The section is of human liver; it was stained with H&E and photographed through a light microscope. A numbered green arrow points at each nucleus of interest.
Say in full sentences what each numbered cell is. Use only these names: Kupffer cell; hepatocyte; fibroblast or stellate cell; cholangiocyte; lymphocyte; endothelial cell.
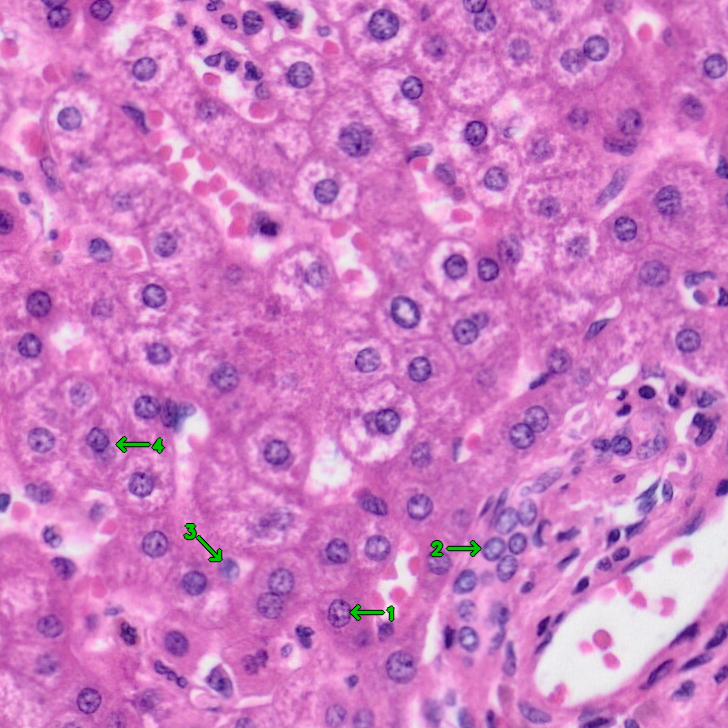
Cell 1 is a hepatocyte, cell 2 is a cholangiocyte, cell 3 is an endothelial cell and cell 4 is a hepatocyte.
